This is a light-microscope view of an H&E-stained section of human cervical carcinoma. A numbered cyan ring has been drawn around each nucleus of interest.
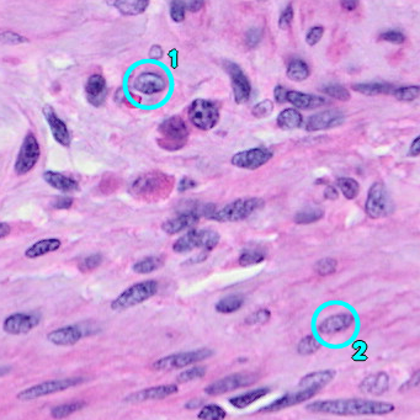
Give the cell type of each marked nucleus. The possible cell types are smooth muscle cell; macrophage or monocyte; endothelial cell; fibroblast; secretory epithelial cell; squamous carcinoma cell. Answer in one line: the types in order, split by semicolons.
endothelial cell; smooth muscle cell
